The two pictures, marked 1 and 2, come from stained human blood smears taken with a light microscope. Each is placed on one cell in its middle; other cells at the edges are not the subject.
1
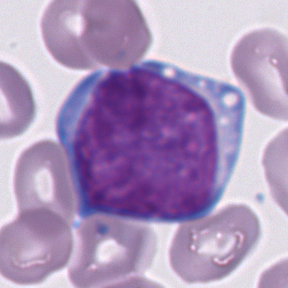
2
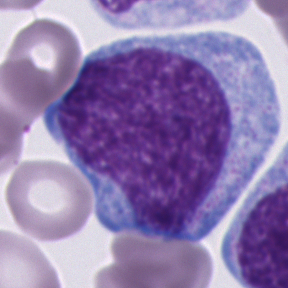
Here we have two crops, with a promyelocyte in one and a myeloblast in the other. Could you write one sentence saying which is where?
The cell that crop 1 centres on is a myeloblast, and the cell that crop 2 centres on is a promyelocyte.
